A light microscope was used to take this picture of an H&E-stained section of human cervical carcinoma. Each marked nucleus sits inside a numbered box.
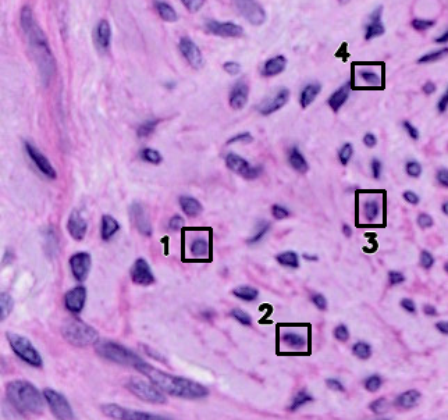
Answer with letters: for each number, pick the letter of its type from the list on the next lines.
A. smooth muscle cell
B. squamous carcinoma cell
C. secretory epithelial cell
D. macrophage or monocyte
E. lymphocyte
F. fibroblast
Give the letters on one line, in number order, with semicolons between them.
A; A; A; F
